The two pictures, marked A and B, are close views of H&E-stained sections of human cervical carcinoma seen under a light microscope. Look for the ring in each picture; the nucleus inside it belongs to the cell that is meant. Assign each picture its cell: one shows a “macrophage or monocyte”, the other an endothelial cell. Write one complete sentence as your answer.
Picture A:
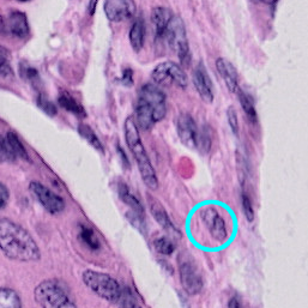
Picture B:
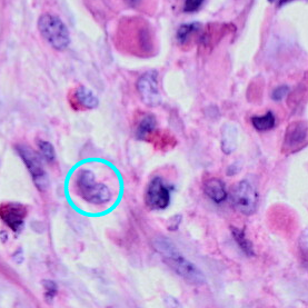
The cell in picture A is an endothelial cell, and the one in picture B is a “macrophage or monocyte”.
